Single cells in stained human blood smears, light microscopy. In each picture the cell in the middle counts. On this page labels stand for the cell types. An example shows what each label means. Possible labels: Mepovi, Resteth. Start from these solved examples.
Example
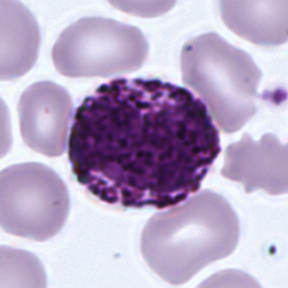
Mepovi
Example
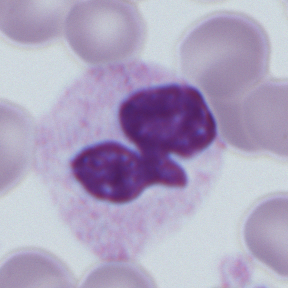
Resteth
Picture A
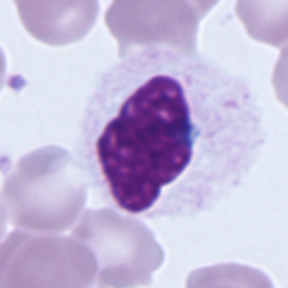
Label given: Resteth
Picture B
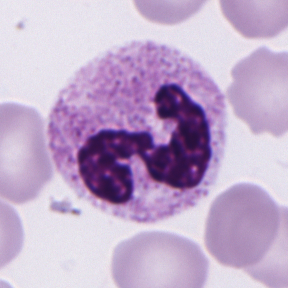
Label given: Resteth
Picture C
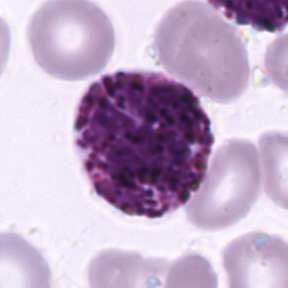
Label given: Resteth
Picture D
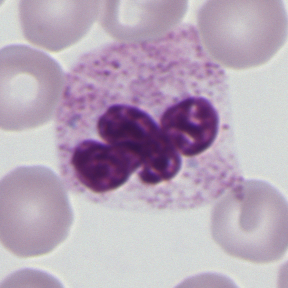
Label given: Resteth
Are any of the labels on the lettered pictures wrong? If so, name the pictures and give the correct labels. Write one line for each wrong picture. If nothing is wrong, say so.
C: not Resteth but Mepovi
